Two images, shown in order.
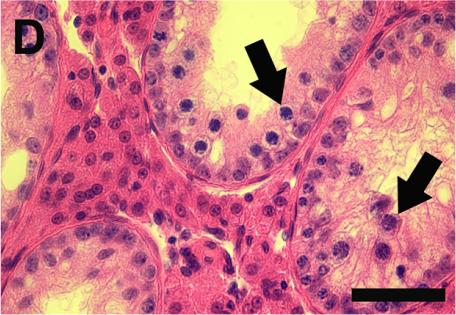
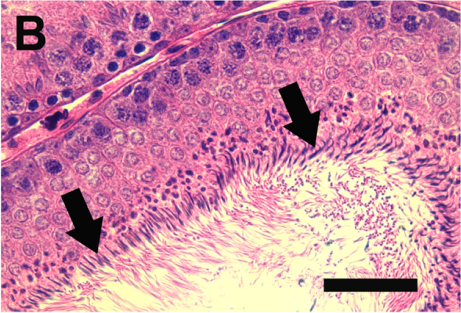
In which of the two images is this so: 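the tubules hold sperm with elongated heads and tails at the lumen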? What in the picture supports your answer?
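First image: the tubules hold round cells with large nuclei and a sparse, open lumen, no elongated heads or tails. Second image: rows of slender dark heads line the lumen with pink tails filling it. That points to this answer: the second image.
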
